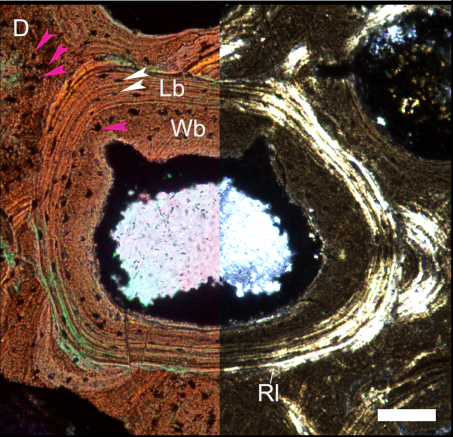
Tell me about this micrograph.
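On the left half the layers appear as alternating orange-pink and green bands, on the right half as bright white bands on a dark ground. Small dark osteocyte lacunae are scattered through the bone, rounded and irregular in the surrounding matrix and next to the canal, flattened along the concentric layers.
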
